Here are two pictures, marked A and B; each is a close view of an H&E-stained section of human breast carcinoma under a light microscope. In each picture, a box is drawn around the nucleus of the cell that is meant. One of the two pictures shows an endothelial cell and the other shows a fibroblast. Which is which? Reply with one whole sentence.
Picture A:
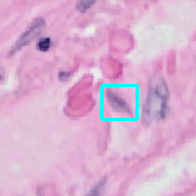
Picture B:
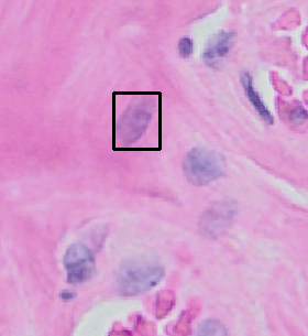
Picture A shows an endothelial cell and picture B shows a fibroblast.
